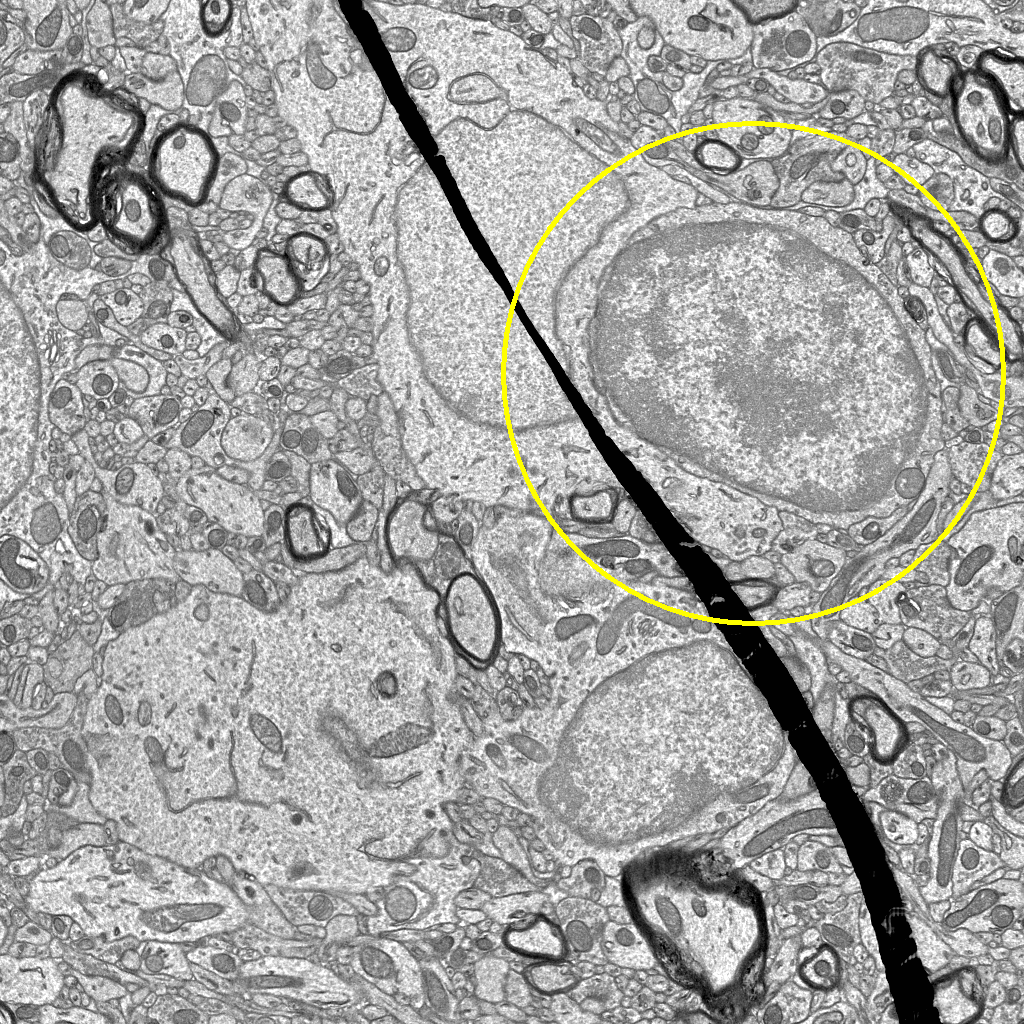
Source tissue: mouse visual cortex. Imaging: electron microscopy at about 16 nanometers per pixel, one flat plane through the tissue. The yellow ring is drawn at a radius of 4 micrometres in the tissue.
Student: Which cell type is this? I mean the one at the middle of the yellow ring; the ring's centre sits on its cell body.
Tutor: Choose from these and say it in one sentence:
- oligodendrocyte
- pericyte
The cell at the ring's centre is an oligodendrocyte.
